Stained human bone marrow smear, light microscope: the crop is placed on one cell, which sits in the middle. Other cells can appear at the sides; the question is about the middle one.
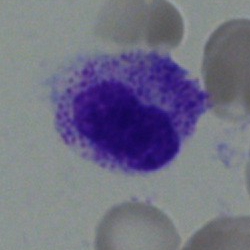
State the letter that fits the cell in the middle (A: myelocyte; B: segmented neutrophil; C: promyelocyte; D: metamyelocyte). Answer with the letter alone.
D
